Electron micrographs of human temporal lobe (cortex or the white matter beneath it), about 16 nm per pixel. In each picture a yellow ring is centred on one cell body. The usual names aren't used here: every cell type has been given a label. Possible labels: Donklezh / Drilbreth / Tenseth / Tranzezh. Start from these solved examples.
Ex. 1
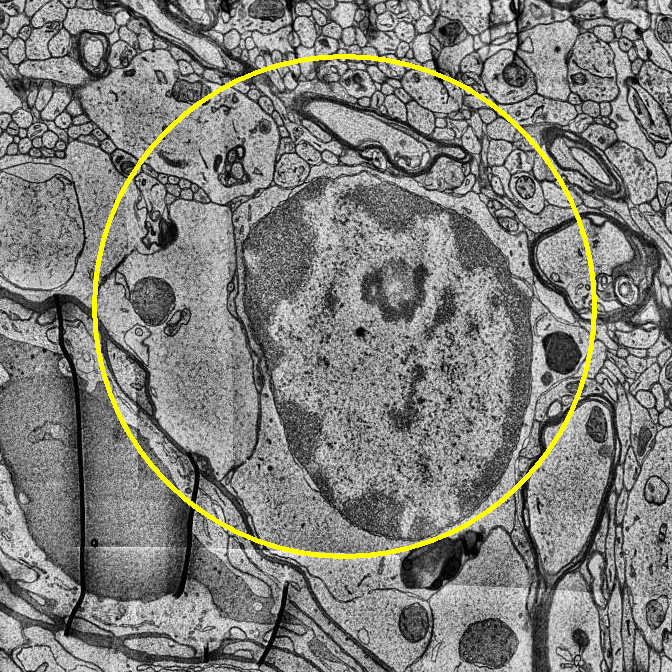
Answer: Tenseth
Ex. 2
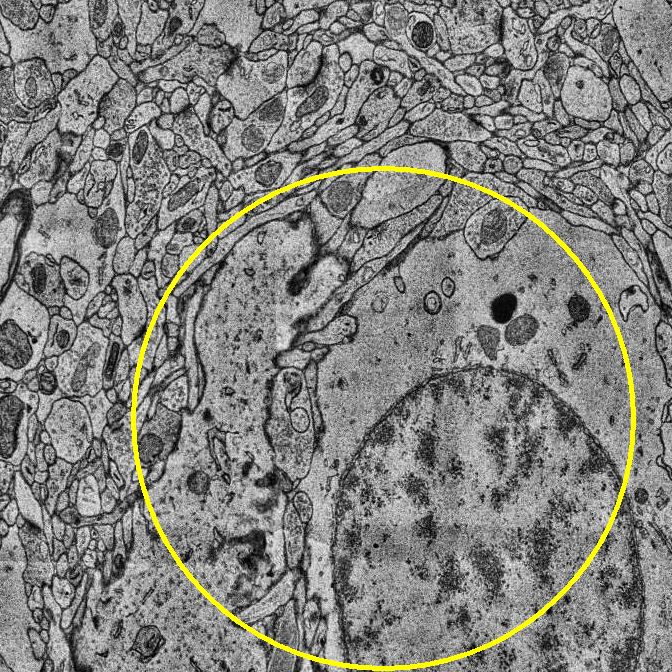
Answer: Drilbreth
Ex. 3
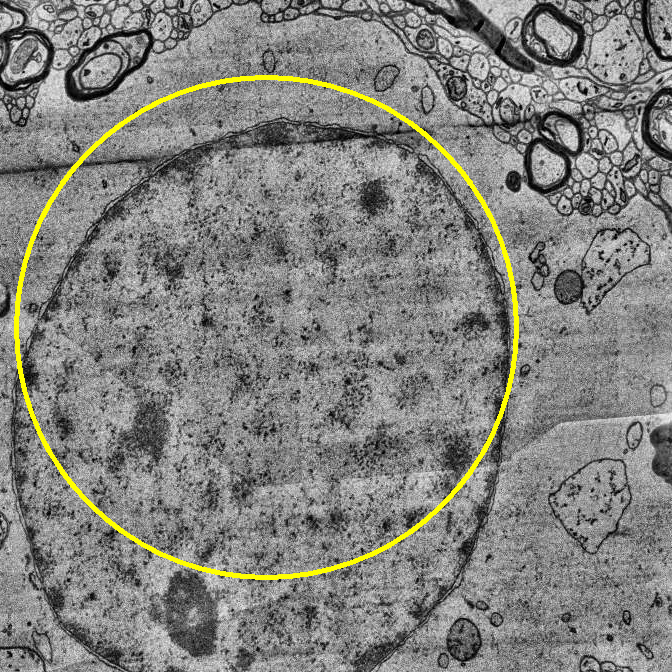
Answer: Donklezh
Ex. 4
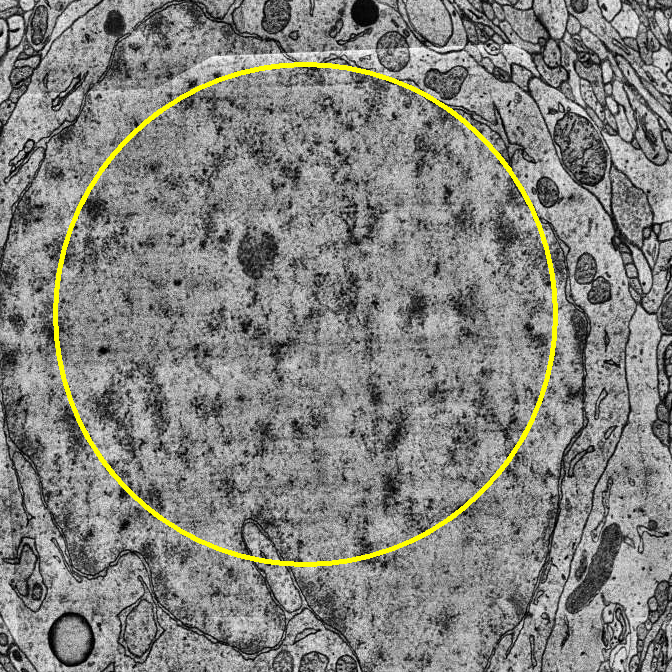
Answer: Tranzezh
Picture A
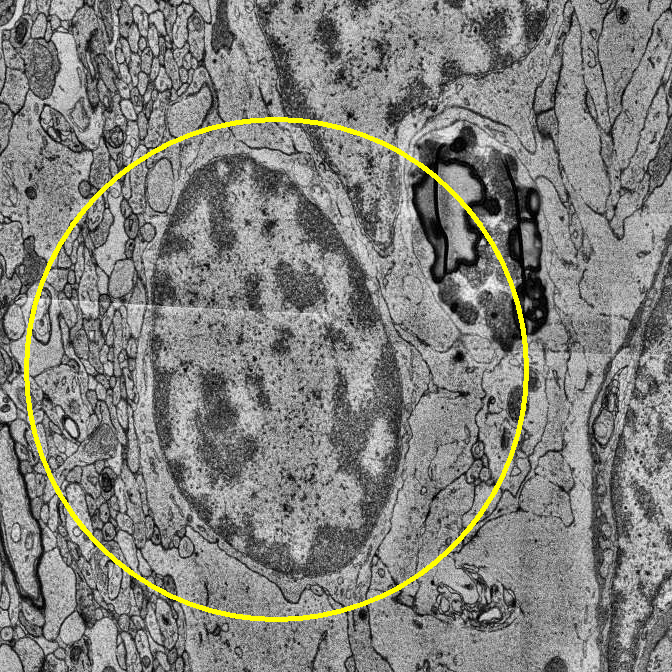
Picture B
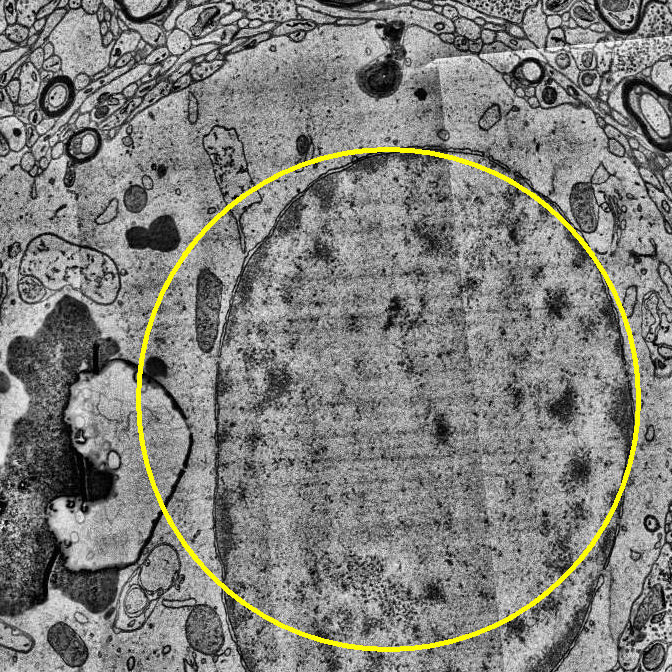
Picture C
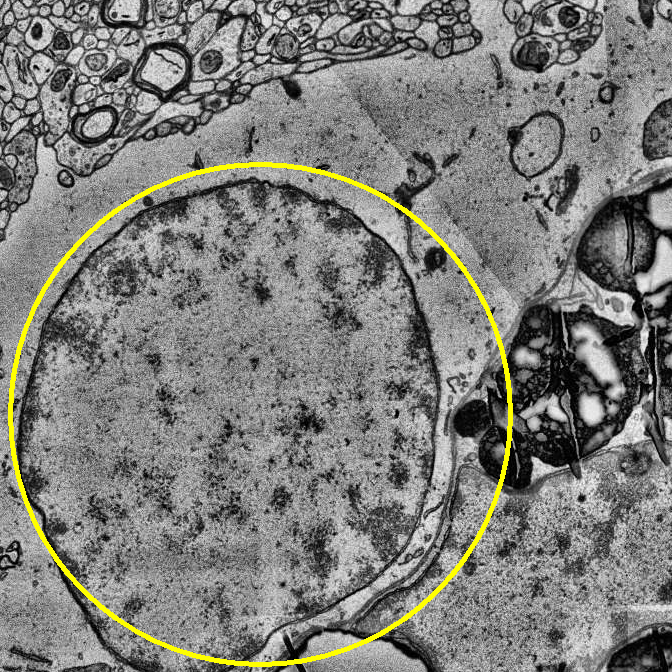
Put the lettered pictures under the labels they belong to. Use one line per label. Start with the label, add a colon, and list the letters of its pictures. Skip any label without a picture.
Donklezh: B, C
Tenseth: A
